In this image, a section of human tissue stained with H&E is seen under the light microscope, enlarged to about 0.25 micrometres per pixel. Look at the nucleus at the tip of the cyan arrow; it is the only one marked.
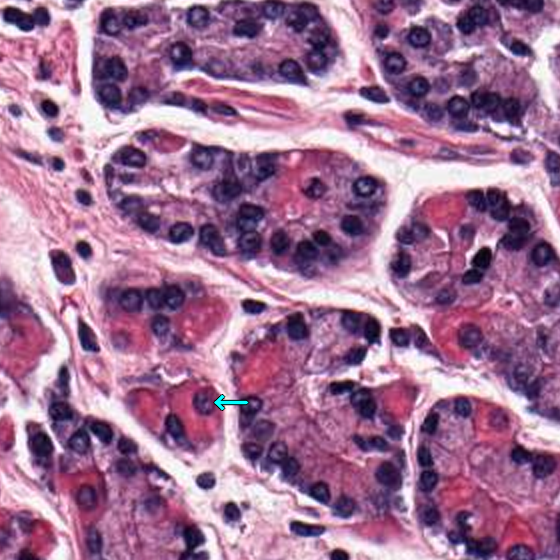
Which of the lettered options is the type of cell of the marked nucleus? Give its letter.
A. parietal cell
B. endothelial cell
A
